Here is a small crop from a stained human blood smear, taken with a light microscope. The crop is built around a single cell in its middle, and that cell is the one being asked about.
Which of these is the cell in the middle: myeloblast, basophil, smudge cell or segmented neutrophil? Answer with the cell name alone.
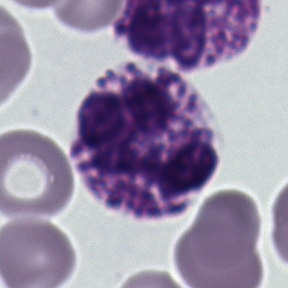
basophil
